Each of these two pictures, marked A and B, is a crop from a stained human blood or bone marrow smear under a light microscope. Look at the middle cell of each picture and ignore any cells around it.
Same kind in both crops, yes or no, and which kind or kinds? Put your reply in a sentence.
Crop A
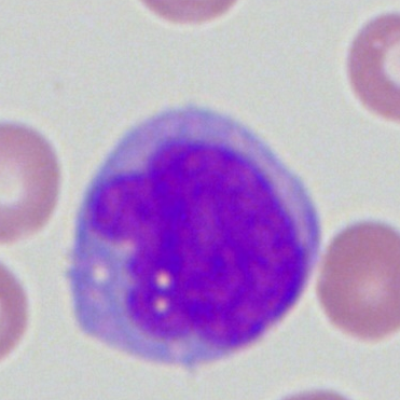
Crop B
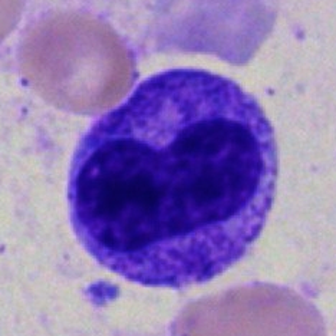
No, the cell at the middle of crop A is a monocyte, while crop B centres on a band neutrophil.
